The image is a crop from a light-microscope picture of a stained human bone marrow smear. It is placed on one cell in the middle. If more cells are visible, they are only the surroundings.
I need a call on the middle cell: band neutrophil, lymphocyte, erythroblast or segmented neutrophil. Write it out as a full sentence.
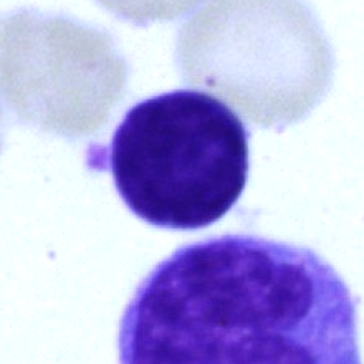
Here the cell in the middle is a lymphocyte.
